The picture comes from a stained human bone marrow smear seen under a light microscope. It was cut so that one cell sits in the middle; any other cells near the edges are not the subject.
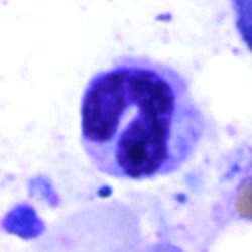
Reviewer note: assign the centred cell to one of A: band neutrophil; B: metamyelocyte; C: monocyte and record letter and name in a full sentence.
Answer key: option A, the middle cell being a band neutrophil.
